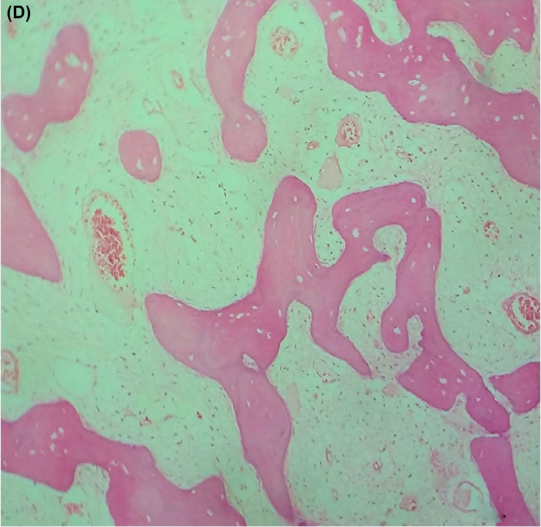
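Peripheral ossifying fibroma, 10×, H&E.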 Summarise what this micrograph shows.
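Broad, deeply pink bands of bone branch and join one another across the field, forming an interconnecting network. Small cells lie in lacunae scattered within these bands. Between the trabeculae lies a pale, loosely textured stroma with sparse spindle-shaped nuclei and several thin-walled vessels filled with red blood cells. The bone is smooth and homogeneous rather than woven-looking.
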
